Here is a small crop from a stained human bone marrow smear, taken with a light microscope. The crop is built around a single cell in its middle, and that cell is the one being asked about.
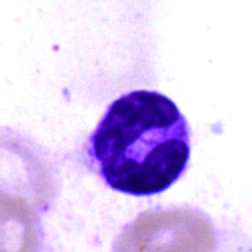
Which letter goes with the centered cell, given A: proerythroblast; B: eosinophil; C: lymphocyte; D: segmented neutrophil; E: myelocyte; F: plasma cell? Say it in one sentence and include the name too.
The best answer is option D, since the cell in the middle is a segmented neutrophil.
